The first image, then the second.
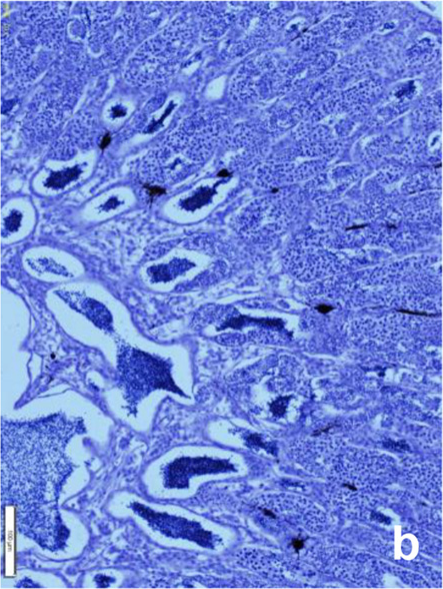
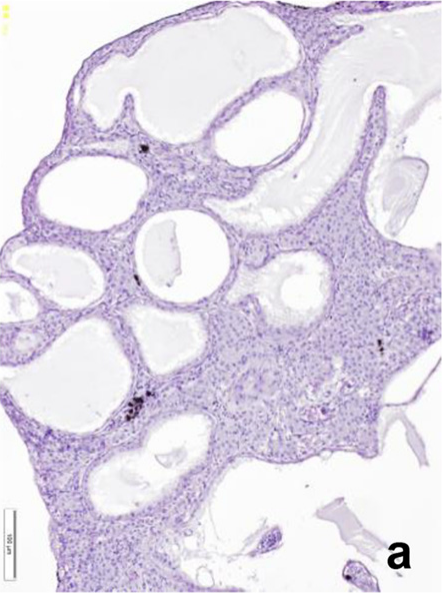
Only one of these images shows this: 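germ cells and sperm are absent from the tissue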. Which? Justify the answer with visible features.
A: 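First image: lumens hold dark blue packed masses of sperm and the tissue is crowded with small round germ cell nuclei. Second image: lumens are empty apart from pale fluid and the tissue between them lacks packed germ cells.
The second image.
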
